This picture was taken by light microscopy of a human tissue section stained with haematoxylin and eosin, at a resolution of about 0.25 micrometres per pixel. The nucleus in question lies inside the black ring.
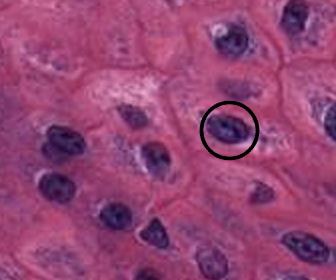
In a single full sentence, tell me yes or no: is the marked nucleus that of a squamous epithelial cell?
Yes, the marked nucleus is a nucleus of a squamous epithelial cell.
